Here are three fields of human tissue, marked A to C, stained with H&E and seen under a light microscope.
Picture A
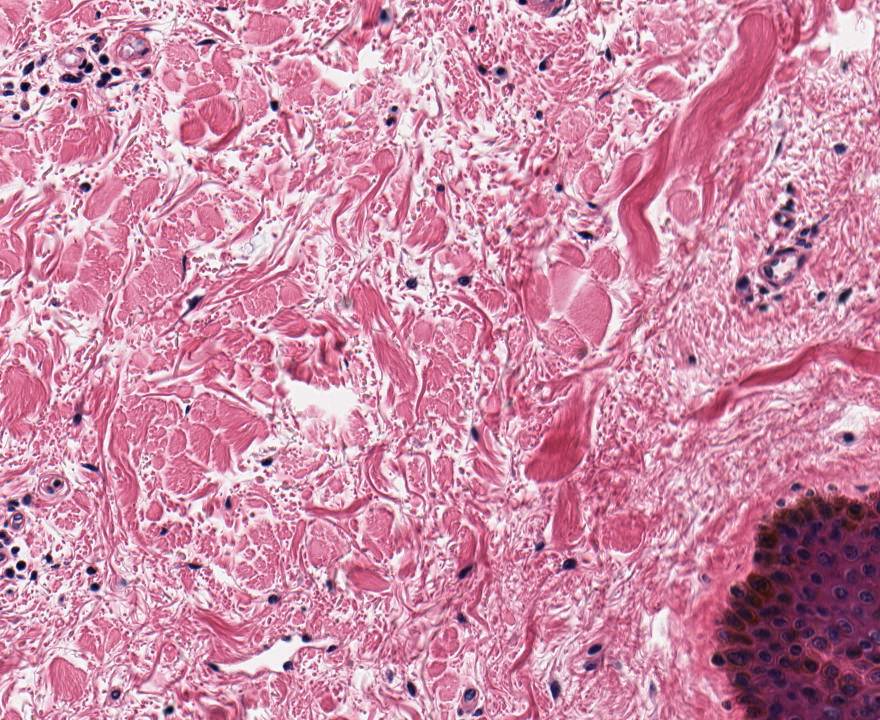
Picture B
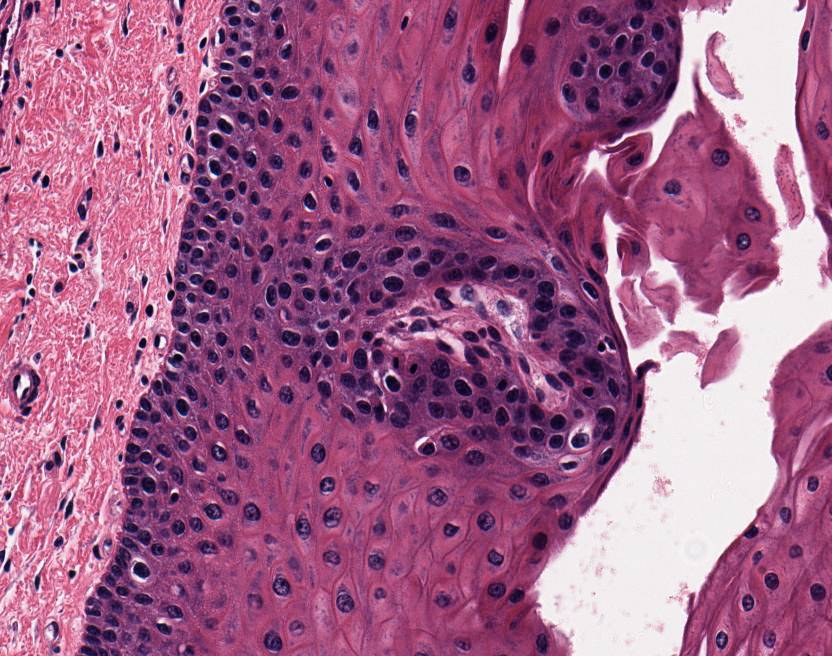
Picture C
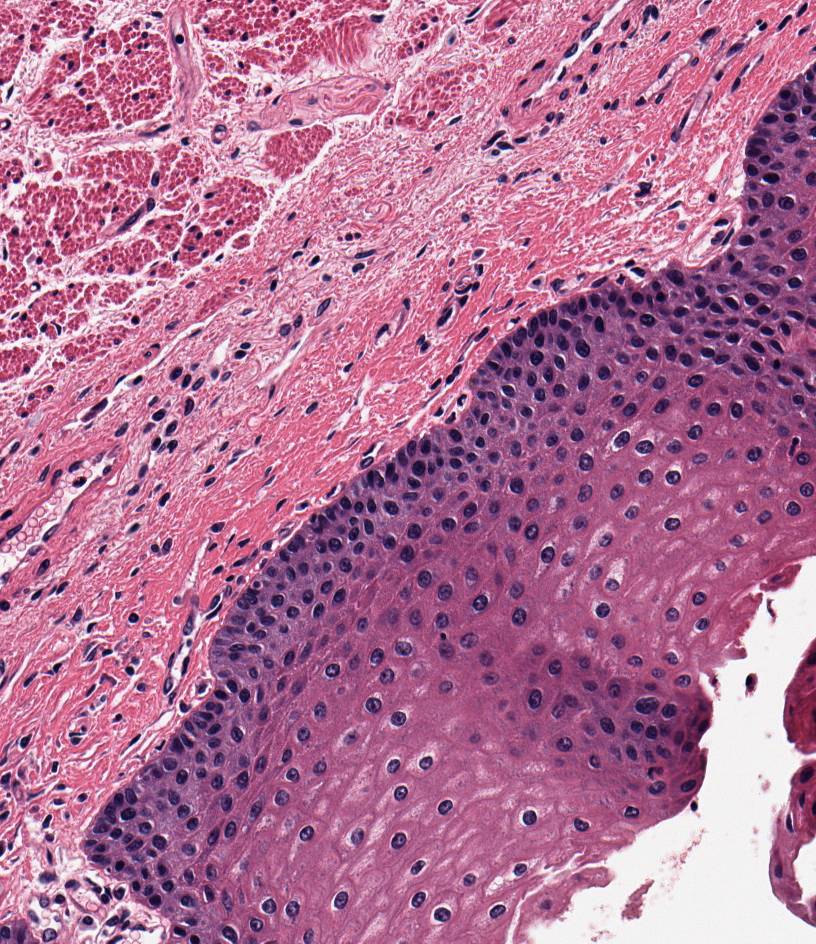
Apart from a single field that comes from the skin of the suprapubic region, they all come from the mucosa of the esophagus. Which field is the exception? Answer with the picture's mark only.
A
